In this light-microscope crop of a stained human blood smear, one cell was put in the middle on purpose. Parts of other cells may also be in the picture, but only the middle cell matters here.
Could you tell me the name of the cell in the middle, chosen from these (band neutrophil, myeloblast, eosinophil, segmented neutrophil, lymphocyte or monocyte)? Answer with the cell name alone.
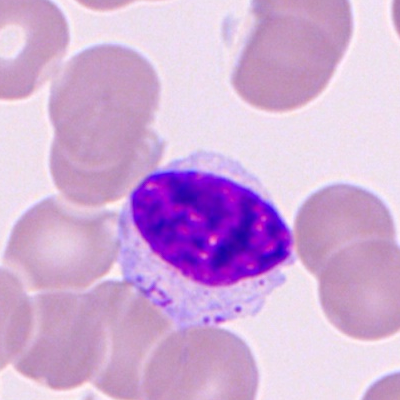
lymphocyte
